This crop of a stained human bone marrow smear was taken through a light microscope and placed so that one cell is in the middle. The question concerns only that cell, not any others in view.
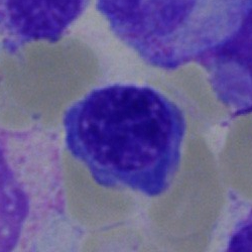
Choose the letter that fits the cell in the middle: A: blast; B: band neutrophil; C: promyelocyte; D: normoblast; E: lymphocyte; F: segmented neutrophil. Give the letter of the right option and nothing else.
D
